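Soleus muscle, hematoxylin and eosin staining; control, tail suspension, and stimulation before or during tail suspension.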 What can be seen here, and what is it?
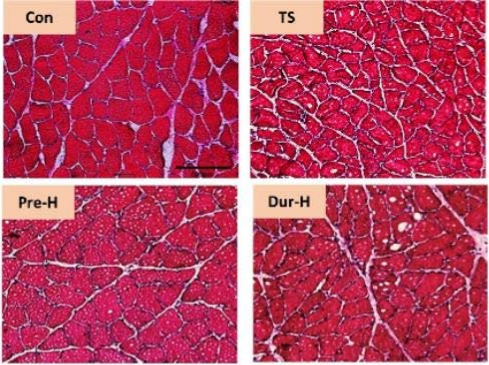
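In some fields the fibers are large and polygonal, separated by thin pale septa. In another field the fibers are markedly smaller and more tightly crowded. Two of the fields show many small pale round spaces scattered within the fibers, giving the cytoplasm a speckled look.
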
